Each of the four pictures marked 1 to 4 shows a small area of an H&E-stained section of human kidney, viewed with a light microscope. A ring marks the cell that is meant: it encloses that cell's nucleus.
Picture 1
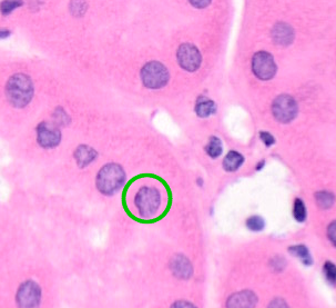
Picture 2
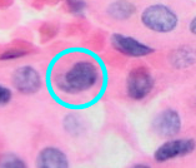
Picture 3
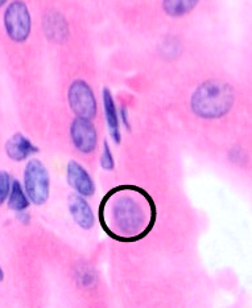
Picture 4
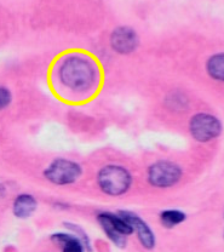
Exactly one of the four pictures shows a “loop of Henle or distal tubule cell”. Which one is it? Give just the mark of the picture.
2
